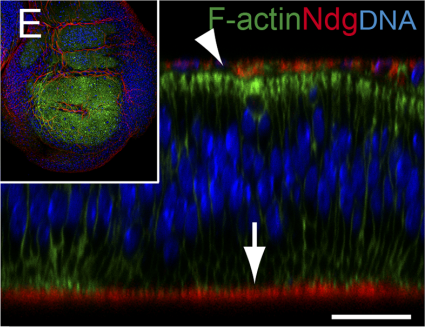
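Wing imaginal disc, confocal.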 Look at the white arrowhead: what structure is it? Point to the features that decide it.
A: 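The arrowhead points to a thin flat cell layer lying on top of the thick columnar epithelium. On this evidence: peripodial membrane.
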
